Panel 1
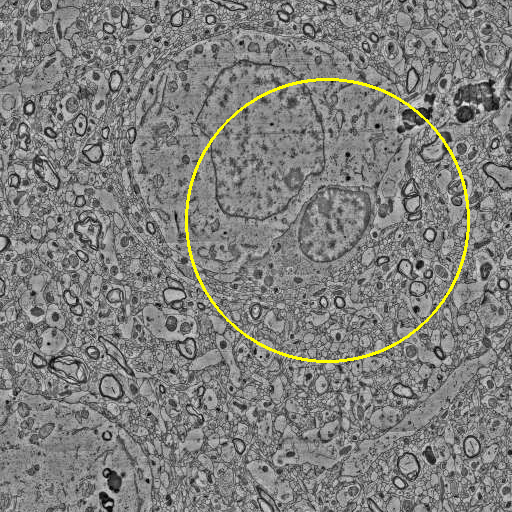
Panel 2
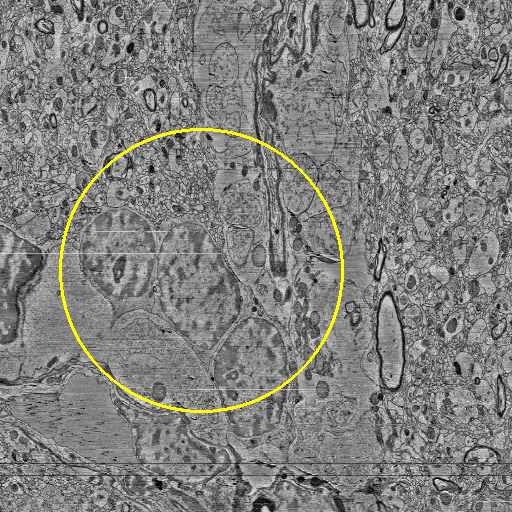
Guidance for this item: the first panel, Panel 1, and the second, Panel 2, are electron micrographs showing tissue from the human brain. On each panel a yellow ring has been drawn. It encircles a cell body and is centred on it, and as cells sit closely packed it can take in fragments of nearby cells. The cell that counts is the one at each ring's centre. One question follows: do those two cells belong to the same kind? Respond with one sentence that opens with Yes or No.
Yes, the cells at the ring centres in Panel 1 and Panel 2 are of one kind.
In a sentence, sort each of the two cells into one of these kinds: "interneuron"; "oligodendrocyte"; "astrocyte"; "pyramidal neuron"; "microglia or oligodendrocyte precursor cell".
Both pictures show an oligodendrocyte at the centre of the ring.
